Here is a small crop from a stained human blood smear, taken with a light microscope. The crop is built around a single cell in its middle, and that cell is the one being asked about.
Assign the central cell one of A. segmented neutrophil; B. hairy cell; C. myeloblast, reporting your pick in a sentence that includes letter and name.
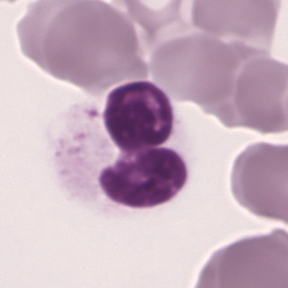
According to option A, which is correct, the cell in the middle is a segmented neutrophil.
